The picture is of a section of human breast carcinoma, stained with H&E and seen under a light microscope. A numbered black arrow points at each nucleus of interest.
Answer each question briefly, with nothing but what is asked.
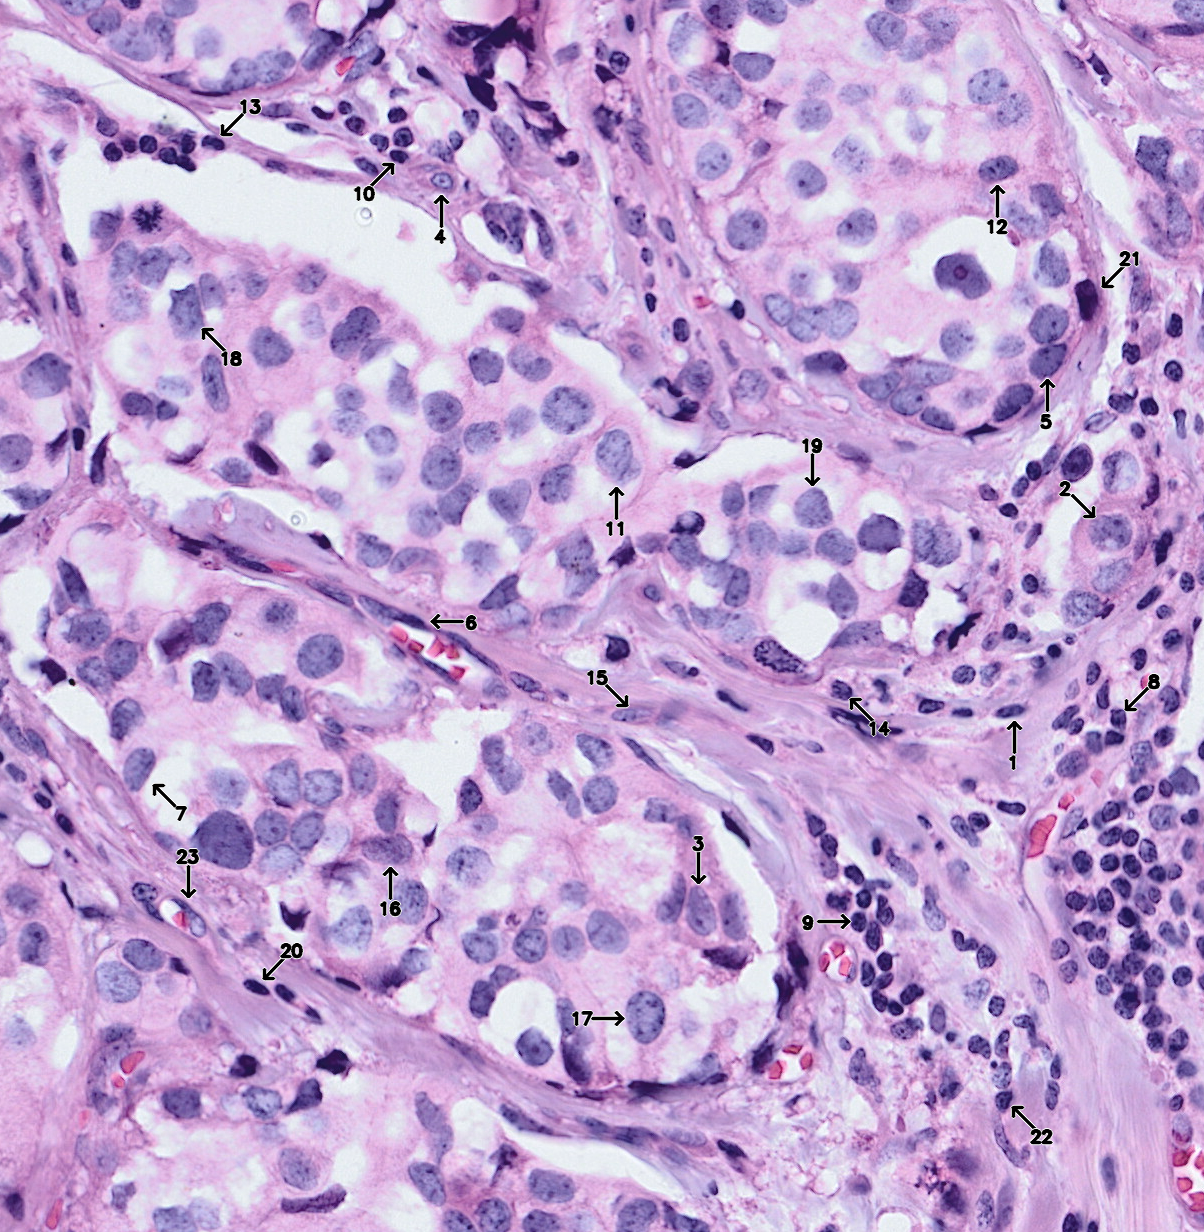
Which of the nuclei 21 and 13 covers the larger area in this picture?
21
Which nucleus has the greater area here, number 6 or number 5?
5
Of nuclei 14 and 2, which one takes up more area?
2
